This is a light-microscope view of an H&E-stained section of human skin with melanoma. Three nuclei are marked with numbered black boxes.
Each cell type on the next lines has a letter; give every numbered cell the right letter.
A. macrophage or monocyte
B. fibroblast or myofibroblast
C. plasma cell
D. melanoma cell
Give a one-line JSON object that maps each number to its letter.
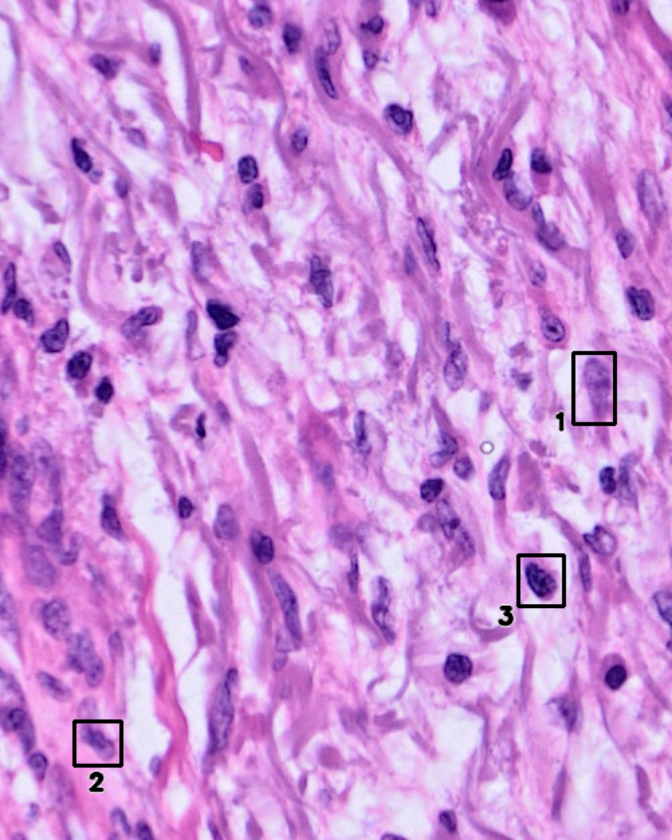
{"1": "B", "2": "A", "3": "C"}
